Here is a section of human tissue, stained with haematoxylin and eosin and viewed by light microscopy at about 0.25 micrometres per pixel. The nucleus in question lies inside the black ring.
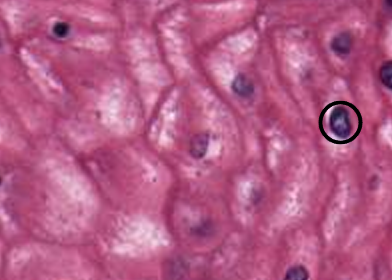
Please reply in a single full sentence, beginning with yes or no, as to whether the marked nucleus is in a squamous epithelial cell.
Yes, the marked nucleus belongs to a squamous epithelial cell.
